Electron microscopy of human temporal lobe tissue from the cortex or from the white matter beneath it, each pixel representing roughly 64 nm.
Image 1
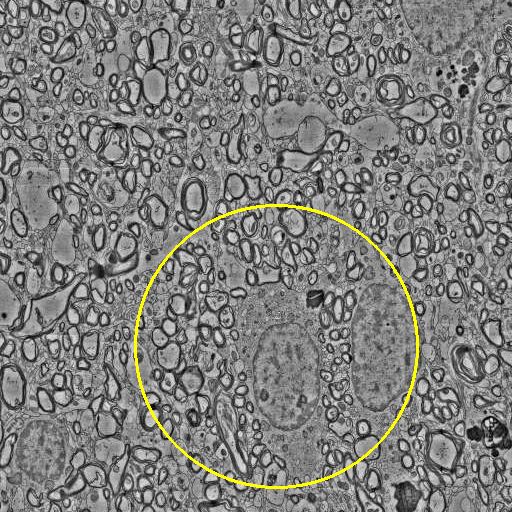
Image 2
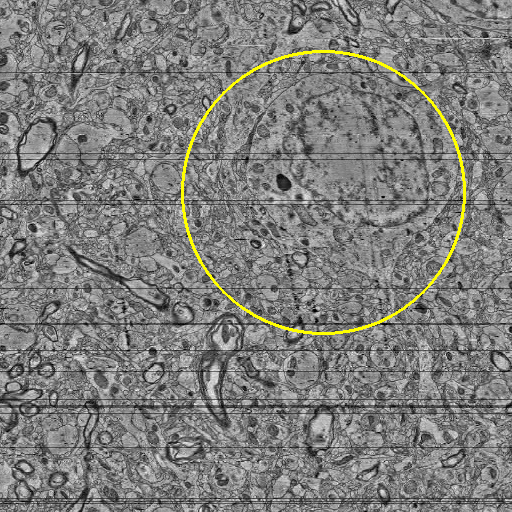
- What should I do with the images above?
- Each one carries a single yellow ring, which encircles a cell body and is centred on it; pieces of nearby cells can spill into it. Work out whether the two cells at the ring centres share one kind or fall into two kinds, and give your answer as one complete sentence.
The ring-centre cells of Image 1 and Image 2 fall into two kinds.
